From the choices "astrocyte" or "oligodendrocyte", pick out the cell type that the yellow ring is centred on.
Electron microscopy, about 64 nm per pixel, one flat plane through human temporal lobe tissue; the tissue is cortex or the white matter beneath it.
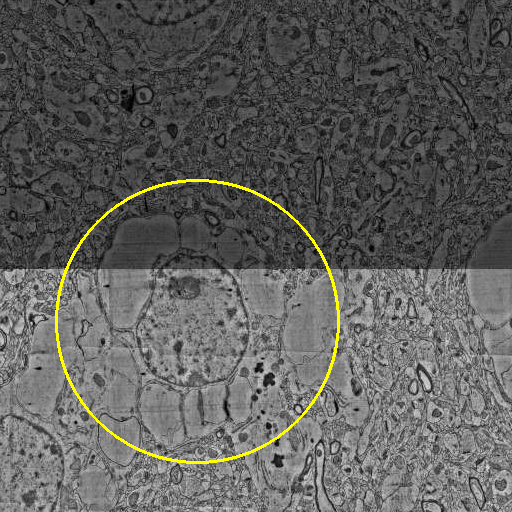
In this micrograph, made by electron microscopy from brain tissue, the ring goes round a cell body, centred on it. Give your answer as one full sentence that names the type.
The yellow ring is centred on an astrocyte, whose cell body it encircles in the picture.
